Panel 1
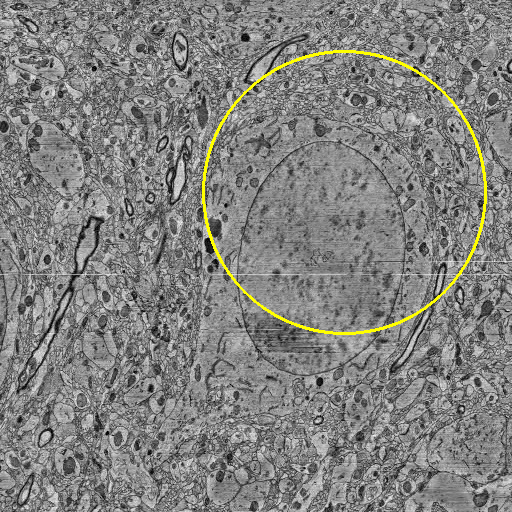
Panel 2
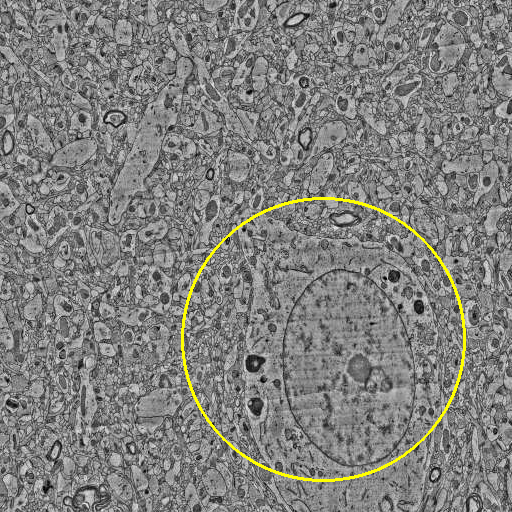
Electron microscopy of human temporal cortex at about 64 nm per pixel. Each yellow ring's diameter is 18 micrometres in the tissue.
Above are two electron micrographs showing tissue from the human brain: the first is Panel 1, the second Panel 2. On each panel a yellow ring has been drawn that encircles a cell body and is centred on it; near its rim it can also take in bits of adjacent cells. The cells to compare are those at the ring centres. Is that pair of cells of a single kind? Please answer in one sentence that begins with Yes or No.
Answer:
Yes, the ring-centred cells of Panel 1 and Panel 2 belong to one kind.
